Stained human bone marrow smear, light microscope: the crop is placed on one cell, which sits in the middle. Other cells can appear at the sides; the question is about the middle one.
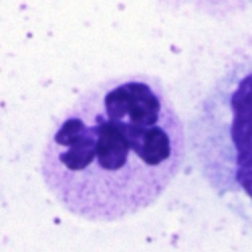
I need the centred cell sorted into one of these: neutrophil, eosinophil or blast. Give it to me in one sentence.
At the crop's centre, the cell is a neutrophil.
